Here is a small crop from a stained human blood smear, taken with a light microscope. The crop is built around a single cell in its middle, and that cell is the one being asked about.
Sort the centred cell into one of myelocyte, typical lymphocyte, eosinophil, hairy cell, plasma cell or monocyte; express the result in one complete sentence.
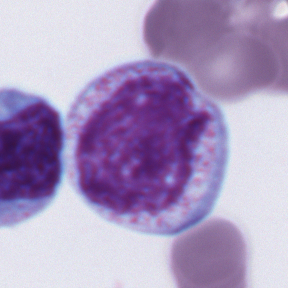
The center cell of this crop is a myelocyte.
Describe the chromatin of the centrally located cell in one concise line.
The chromatin is fine, with no coarse clumping anywhere.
